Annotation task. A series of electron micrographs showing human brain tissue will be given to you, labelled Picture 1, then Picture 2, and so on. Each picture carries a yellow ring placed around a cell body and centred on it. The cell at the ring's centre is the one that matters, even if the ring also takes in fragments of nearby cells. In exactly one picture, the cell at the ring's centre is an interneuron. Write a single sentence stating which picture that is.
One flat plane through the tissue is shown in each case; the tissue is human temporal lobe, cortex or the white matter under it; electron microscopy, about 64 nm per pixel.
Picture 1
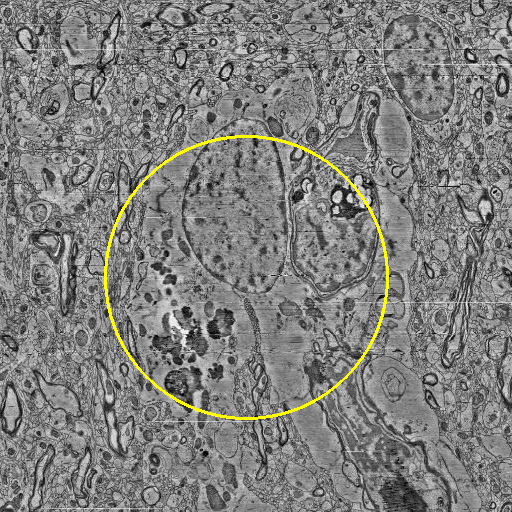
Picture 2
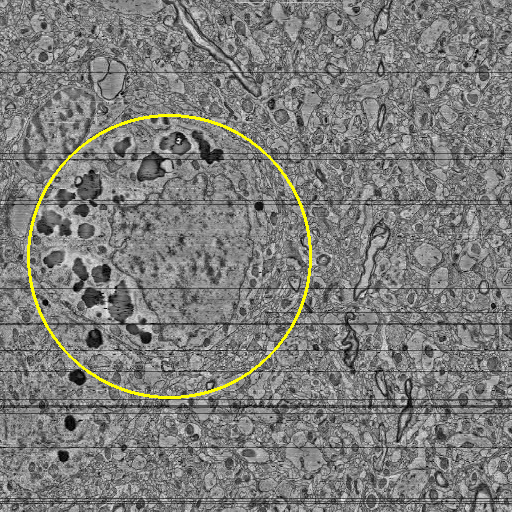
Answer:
Picture 2 holds the requested cell at the very centre of its ring.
